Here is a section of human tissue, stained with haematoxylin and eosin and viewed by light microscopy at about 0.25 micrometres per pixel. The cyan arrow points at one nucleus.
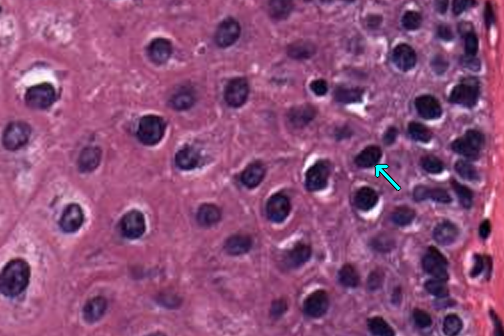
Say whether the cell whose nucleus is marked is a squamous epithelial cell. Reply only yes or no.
yes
